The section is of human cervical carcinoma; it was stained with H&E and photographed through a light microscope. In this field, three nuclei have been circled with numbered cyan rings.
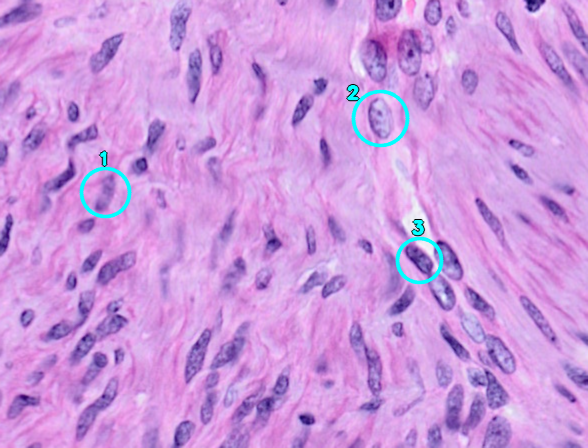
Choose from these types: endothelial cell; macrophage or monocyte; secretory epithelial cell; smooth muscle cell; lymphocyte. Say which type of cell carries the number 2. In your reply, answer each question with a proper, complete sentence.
Cell number 2 in this section is an endothelial cell.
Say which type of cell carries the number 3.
The numbered cell 3 in this field is an endothelial cell.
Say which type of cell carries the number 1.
Cell 1 should be recorded as a smooth muscle cell.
